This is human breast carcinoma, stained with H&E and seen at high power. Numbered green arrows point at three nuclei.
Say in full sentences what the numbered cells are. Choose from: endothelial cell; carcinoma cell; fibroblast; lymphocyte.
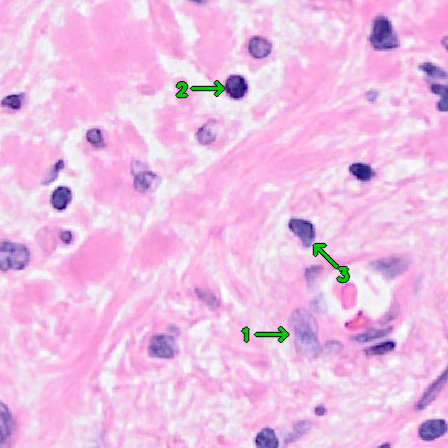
Cell 1 is an endothelial cell, cell 2 is a lymphocyte and cell 3 is a lymphocyte.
